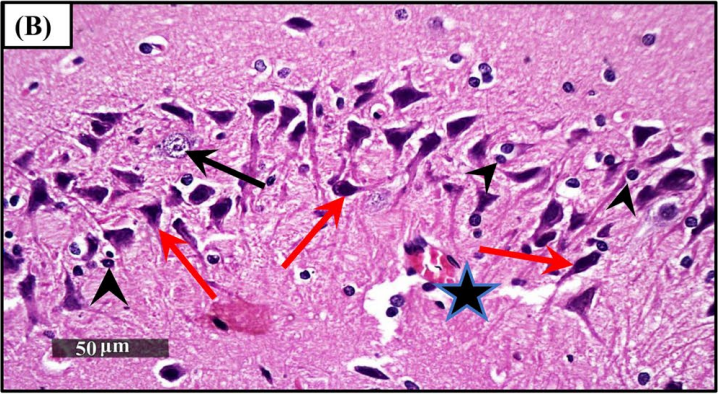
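This is the pyramidal cell layer of the hippocampus, stained with haematoxylin and eosin, showing severe neuronal degeneration. Most pyramidal neurons are shrunken, angular and stained uniformly dark purple, so that no nucleus or nucleolus can be told; they are pyknotic and structureless. Only a few scattered neurons keep a pale round nucleus. Clear spaces surround many cells, pointing to perineuronal edema. Many small glial cells with round dark nuclei are scattered between the neurons. Below the layer a blood vessel is congested, its lumen packed with red blood cells, and the pink neuropil around it is loosened.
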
